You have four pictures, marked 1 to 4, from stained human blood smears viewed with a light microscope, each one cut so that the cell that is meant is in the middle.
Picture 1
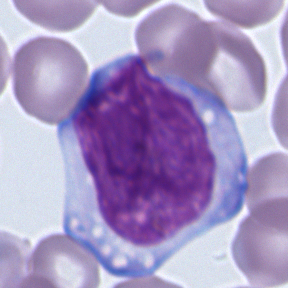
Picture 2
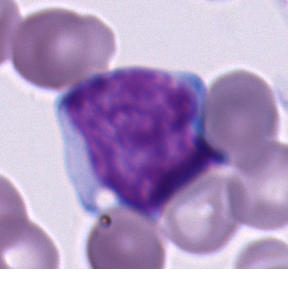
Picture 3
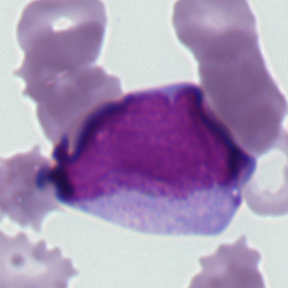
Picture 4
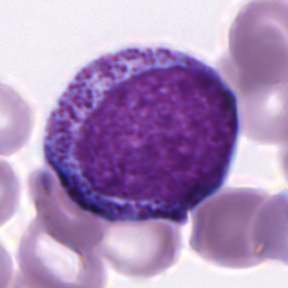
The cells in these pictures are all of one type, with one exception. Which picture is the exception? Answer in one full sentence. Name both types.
All pictures except 4 show myeloblasts; picture 4 shows a promyelocyte.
